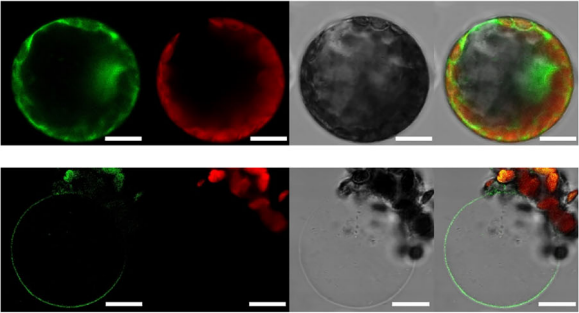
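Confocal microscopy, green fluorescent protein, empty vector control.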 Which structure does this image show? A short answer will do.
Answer: mesophyll protoplast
